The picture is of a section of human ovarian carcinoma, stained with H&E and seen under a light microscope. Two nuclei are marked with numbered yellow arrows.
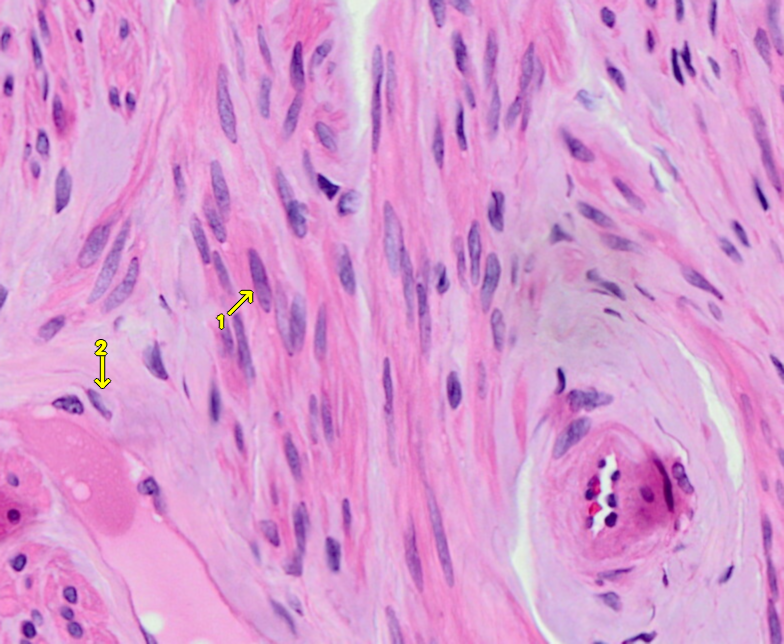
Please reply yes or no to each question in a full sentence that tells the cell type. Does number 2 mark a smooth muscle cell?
No, the cell numbered 2 is a fibroblast rather than a smooth muscle cell.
